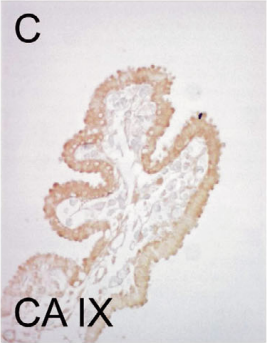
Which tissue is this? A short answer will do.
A: choroid plexus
